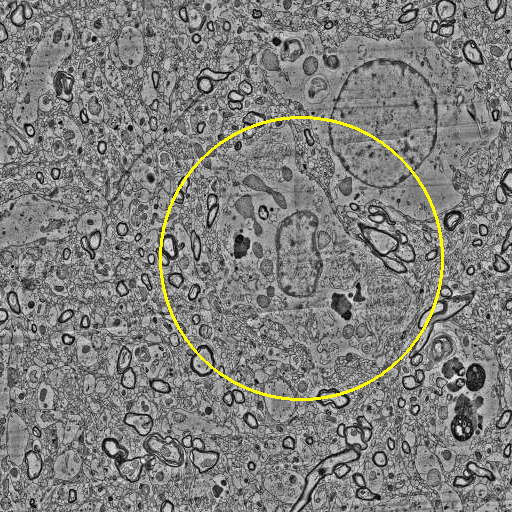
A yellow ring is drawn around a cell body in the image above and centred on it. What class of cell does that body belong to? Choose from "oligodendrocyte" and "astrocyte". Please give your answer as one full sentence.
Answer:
The yellow ring above is centred on the cell body of an astrocyte.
